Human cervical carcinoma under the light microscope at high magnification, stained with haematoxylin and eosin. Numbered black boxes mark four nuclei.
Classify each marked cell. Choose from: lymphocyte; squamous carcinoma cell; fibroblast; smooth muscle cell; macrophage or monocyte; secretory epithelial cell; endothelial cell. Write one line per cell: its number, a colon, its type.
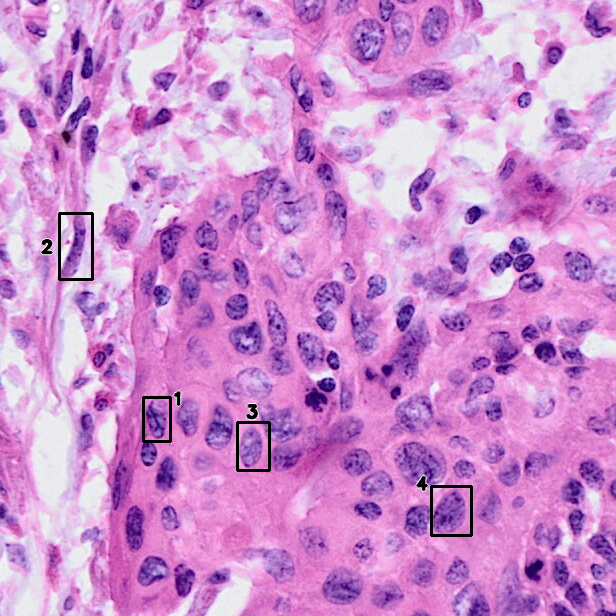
1: squamous carcinoma cell
2: fibroblast
3: squamous carcinoma cell
4: squamous carcinoma cell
